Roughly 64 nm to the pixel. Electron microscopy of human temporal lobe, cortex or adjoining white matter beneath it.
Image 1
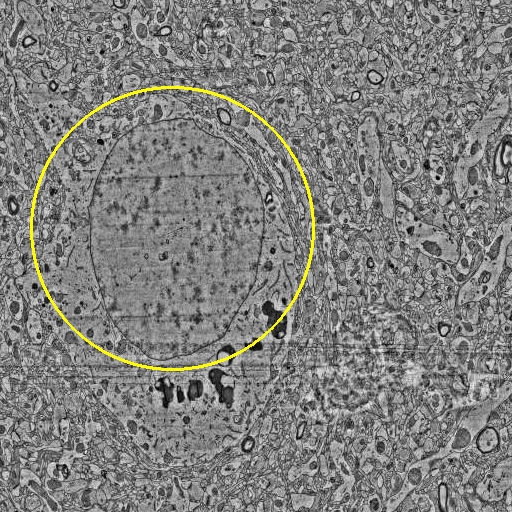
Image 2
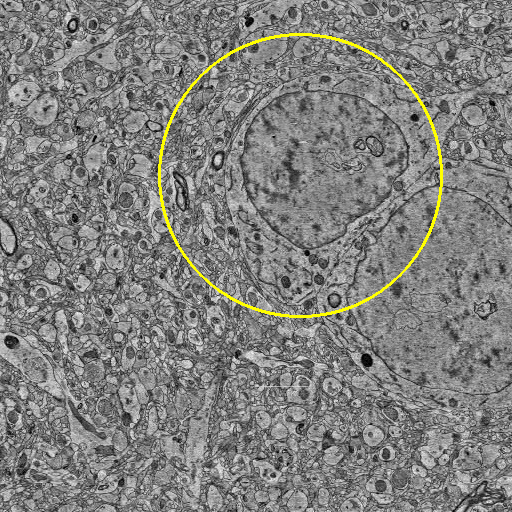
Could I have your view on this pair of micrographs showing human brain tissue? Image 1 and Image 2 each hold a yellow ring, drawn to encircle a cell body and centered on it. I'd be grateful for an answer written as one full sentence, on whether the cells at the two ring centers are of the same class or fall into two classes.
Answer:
The cells at the centers of the two rings are of the same class.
